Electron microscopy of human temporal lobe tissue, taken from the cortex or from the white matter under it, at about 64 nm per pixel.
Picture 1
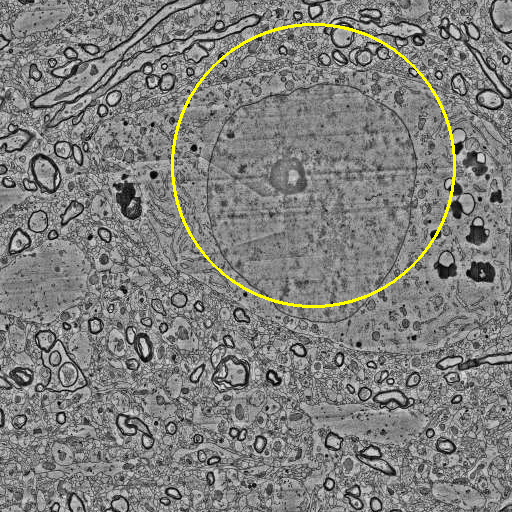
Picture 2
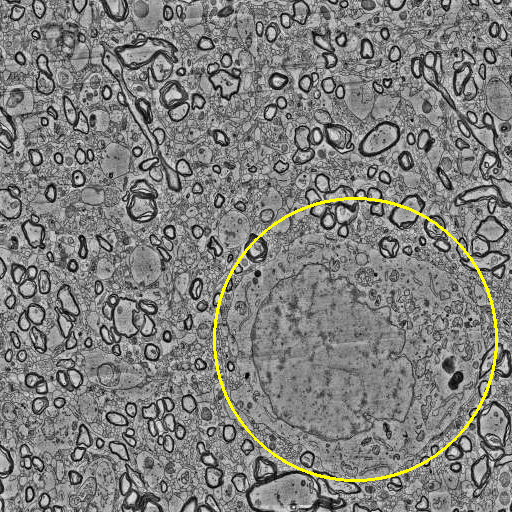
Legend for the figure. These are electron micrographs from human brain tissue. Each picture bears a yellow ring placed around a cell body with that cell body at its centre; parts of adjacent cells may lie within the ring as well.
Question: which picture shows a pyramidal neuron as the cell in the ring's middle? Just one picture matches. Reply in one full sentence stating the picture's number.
It is picture 1 whose yellow ring is centred on the requested cell.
